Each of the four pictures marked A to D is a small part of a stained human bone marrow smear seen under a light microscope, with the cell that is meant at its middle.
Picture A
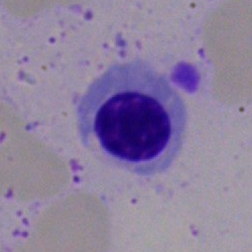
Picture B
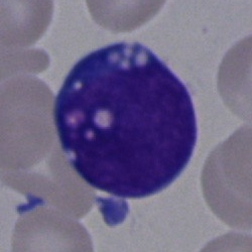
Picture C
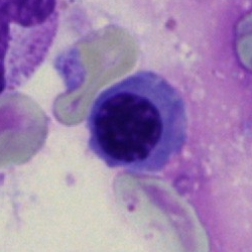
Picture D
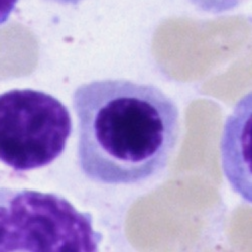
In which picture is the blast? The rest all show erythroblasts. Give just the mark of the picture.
B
